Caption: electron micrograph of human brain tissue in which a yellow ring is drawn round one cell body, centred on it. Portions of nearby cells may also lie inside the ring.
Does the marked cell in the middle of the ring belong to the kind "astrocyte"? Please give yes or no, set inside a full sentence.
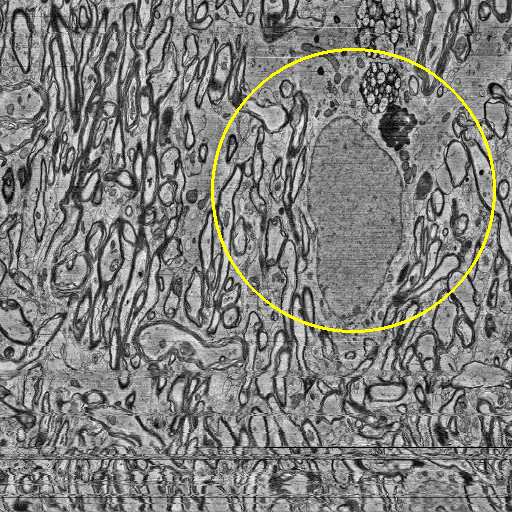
Yes, the marked cell that the ring is centred on in the picture is of that kind.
